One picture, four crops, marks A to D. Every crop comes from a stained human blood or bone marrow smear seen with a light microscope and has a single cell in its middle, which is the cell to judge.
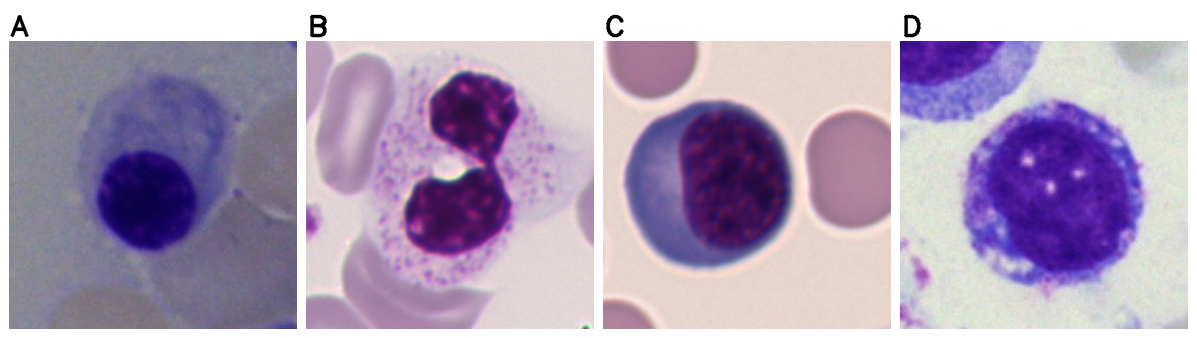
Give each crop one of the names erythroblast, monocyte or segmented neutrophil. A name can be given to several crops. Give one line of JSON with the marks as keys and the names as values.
{"A": "erythroblast", "B": "segmented neutrophil", "C": "erythroblast", "D": "monocyte"}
